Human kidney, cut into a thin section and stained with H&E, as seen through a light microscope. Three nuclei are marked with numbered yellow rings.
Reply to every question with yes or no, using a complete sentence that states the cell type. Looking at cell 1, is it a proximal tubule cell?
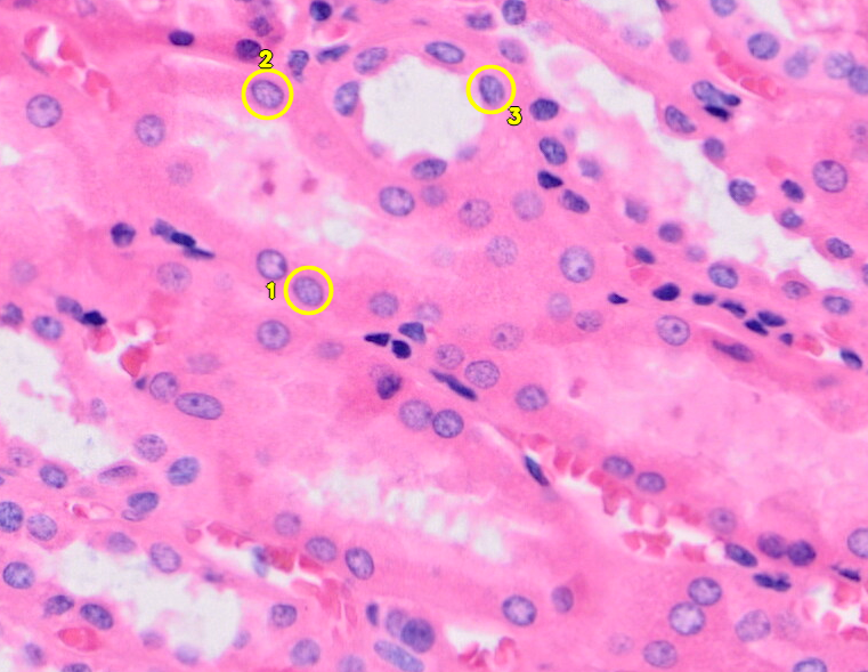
Yes, the marked cell numbered 1 is a proximal tubule cell.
